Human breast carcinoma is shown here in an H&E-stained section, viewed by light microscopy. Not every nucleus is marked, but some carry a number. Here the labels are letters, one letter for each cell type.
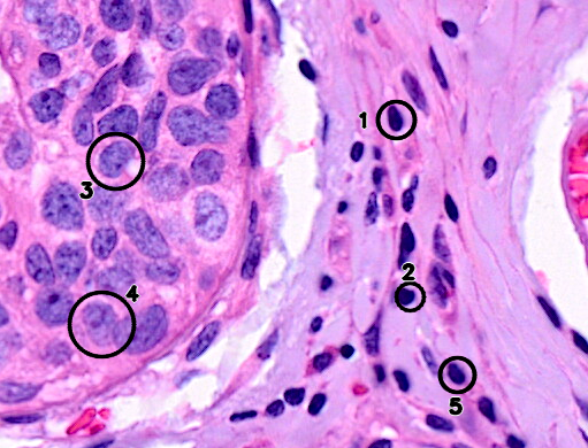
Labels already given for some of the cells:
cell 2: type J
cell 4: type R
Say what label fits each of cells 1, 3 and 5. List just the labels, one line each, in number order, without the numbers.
type J
type R
type J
